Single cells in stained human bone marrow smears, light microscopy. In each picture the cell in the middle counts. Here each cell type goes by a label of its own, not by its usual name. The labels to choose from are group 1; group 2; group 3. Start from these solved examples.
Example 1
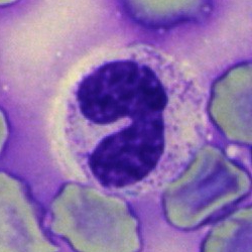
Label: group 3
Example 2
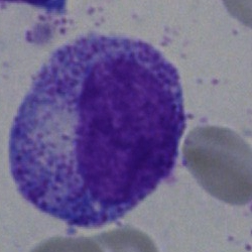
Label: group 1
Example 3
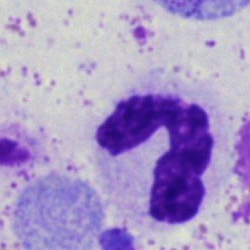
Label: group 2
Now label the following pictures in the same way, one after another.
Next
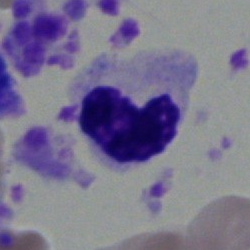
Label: group 2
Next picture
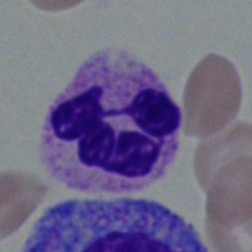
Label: group 2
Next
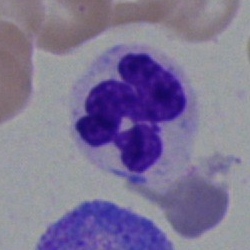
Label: group 2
